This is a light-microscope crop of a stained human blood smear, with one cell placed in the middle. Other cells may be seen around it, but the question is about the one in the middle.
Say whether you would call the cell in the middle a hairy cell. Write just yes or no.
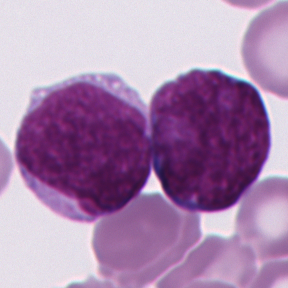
no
